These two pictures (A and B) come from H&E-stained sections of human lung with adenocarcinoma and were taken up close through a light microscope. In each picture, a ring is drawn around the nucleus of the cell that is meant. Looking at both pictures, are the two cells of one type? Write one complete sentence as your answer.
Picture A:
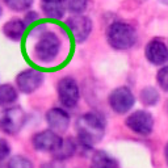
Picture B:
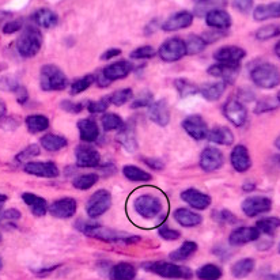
Yes; the cells in both pictures are lymphocytes.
